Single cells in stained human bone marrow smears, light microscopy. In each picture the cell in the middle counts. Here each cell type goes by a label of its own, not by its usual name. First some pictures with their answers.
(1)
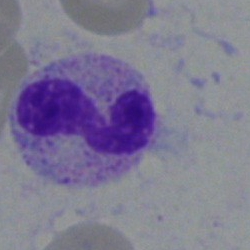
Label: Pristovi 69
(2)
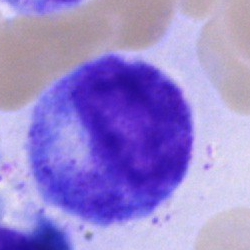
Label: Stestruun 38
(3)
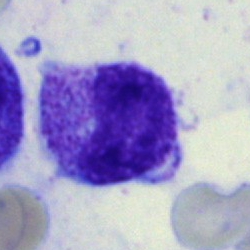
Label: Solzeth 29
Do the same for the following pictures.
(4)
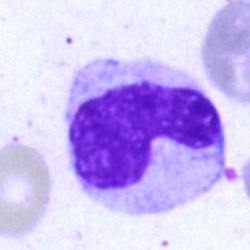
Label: Pristovi 69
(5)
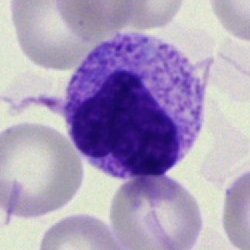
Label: Solzeth 29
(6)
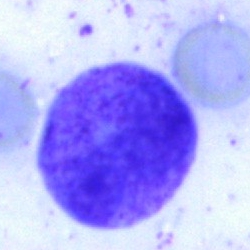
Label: Stestruun 38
